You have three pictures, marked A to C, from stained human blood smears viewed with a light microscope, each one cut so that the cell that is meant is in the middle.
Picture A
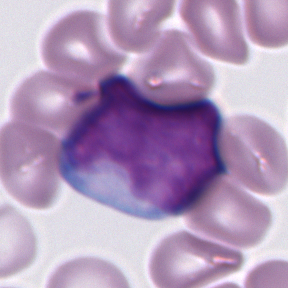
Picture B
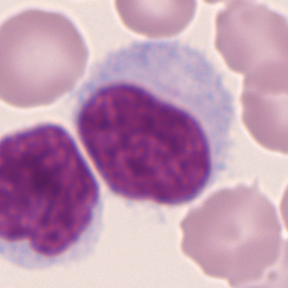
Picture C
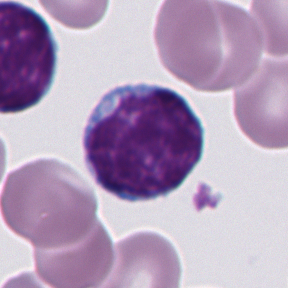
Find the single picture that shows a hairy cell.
B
